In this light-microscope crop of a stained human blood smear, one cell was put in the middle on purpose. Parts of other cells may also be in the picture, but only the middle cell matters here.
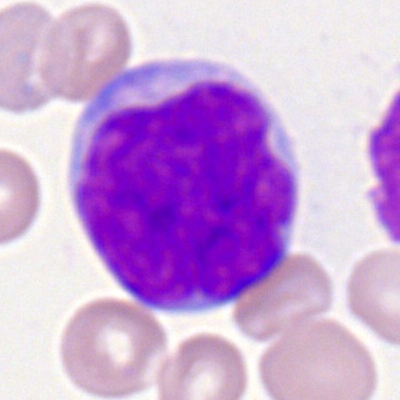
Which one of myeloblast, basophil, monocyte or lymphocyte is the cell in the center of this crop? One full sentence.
The cell under consideration, at the middle of the crop, is a myeloblast.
